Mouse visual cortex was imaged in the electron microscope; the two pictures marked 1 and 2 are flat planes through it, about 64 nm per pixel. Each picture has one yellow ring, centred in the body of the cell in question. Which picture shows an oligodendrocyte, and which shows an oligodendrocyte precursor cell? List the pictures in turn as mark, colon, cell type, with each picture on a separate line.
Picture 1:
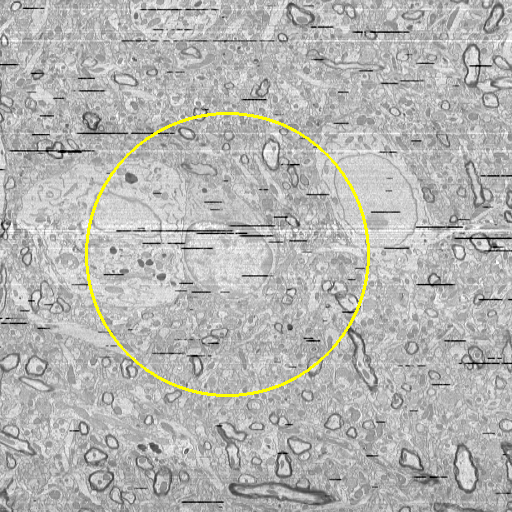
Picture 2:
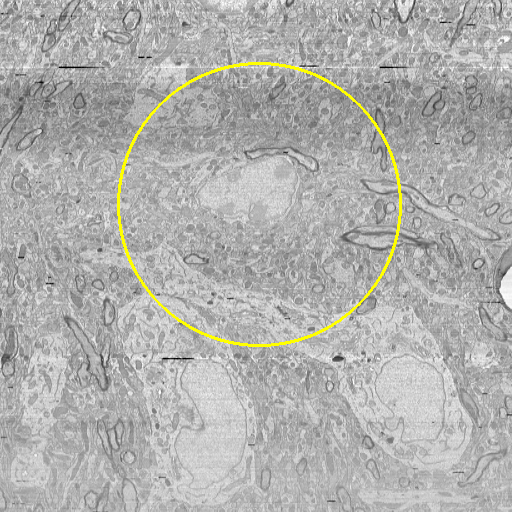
1: oligodendrocyte
2: oligodendrocyte precursor cell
